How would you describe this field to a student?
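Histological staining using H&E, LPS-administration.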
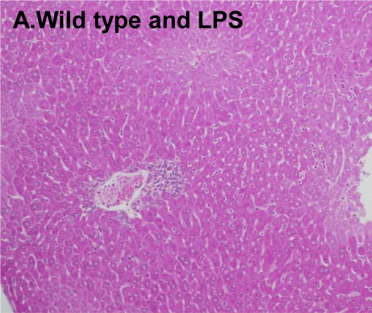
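The hepatocytes are polygonal with round, centrally placed nuclei. Near the centre lies a vessel whose lumen contains some cells, and the tissue around it holds a dense gathering of small, dark-nucleated cells, standing out against the paler hepatocytes as a focal inflammatory infiltrate. Elsewhere the plates look fairly uniform, with the cells' eosinophilic cytoplasm giving the section its overall pink colour.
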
